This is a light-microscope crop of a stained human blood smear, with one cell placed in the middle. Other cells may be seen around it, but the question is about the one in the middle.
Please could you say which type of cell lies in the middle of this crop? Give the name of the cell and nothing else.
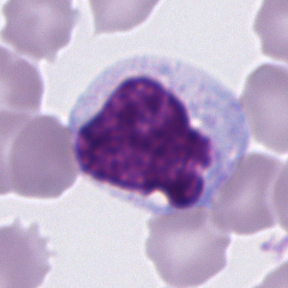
monocyte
